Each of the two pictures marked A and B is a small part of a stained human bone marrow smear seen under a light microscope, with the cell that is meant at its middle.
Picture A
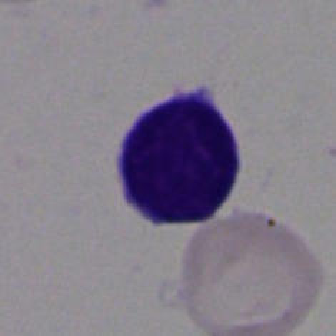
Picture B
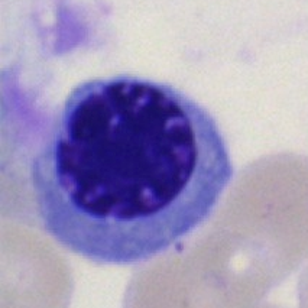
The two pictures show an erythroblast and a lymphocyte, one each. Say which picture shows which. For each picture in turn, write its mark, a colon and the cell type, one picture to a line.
A: lymphocyte
B: erythroblast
